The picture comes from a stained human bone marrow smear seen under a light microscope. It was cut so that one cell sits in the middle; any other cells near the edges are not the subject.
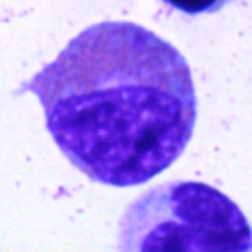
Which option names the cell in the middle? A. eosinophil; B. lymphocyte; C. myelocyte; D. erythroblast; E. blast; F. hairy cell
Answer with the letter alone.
A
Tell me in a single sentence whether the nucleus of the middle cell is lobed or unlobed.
The nucleus holds together as a single compact mass, round, oval or kidney-like.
